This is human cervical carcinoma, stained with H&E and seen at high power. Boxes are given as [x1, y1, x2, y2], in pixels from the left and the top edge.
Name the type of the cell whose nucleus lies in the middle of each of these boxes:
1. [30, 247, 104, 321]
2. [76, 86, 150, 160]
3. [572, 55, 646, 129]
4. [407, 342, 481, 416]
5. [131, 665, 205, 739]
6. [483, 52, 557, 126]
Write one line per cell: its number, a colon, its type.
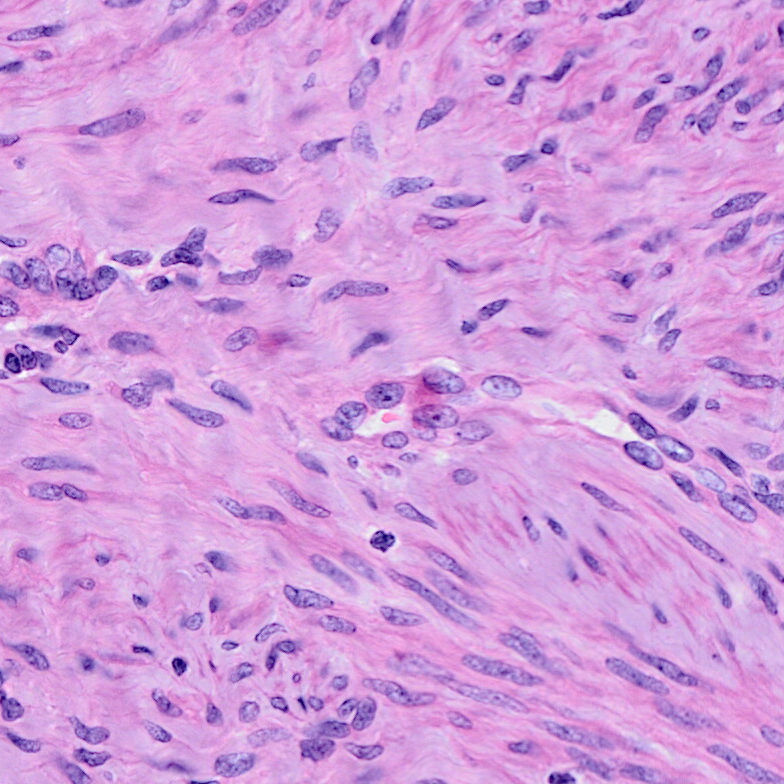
1: endothelial cell
2: smooth muscle cell
3: smooth muscle cell
4: endothelial cell
5: smooth muscle cell
6: smooth muscle cell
